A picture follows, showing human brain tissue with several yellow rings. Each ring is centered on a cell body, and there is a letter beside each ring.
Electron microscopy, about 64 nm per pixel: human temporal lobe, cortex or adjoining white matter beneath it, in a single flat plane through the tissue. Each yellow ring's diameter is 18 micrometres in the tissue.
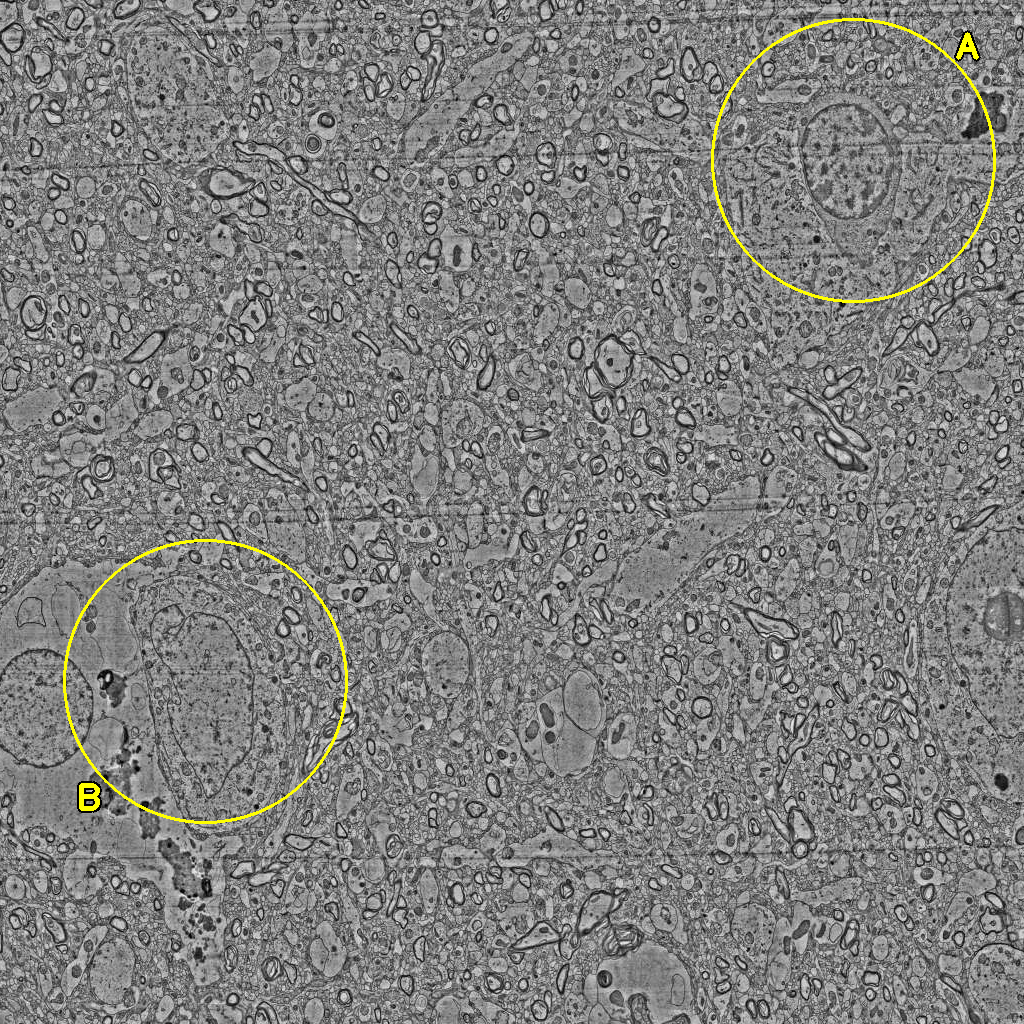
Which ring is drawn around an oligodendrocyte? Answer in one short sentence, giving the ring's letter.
Ring A is drawn around it.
